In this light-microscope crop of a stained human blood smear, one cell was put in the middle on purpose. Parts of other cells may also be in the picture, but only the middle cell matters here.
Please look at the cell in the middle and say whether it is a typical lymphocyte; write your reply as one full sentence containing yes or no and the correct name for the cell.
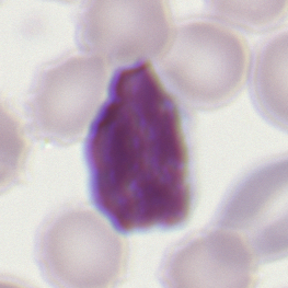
Yes, the middle cell here is a typical lymphocyte.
